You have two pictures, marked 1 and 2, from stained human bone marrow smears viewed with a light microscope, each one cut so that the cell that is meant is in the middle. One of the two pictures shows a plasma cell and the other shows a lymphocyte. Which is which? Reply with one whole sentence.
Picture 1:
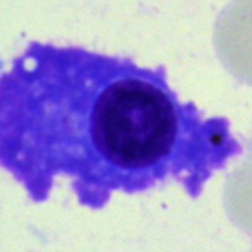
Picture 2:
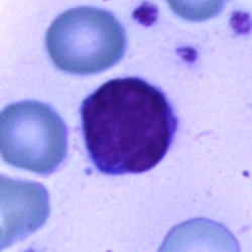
Picture 1 shows a plasma cell and picture 2 shows a lymphocyte.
